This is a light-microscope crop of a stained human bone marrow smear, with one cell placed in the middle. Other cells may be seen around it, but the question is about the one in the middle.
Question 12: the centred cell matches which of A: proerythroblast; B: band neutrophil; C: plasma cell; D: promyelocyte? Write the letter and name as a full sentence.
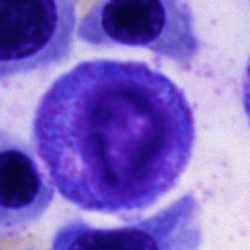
Option D is the right one, for the cell in the middle is a promyelocyte.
